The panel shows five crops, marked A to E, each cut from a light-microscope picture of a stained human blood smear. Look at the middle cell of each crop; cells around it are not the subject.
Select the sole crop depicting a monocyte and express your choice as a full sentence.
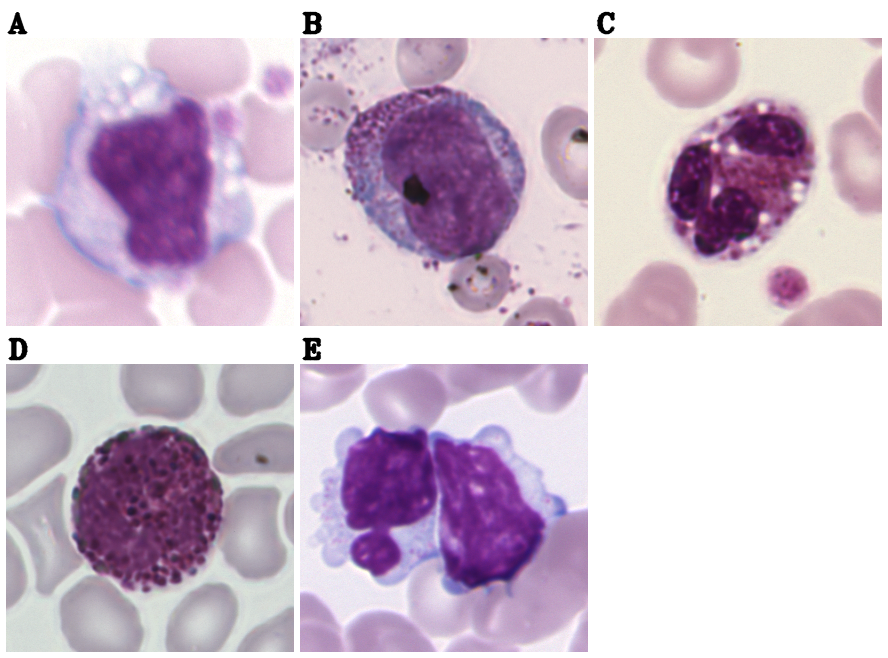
Crop A is the crop featuring a monocyte at its center.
